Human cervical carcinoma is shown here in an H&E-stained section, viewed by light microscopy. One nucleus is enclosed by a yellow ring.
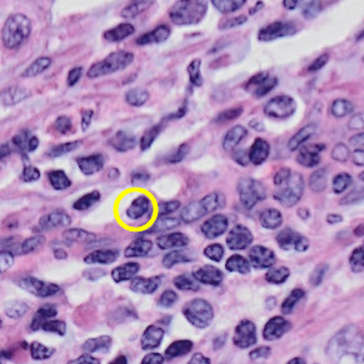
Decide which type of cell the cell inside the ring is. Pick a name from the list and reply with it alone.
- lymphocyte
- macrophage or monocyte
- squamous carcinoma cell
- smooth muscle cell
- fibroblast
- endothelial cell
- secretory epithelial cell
lymphocyte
